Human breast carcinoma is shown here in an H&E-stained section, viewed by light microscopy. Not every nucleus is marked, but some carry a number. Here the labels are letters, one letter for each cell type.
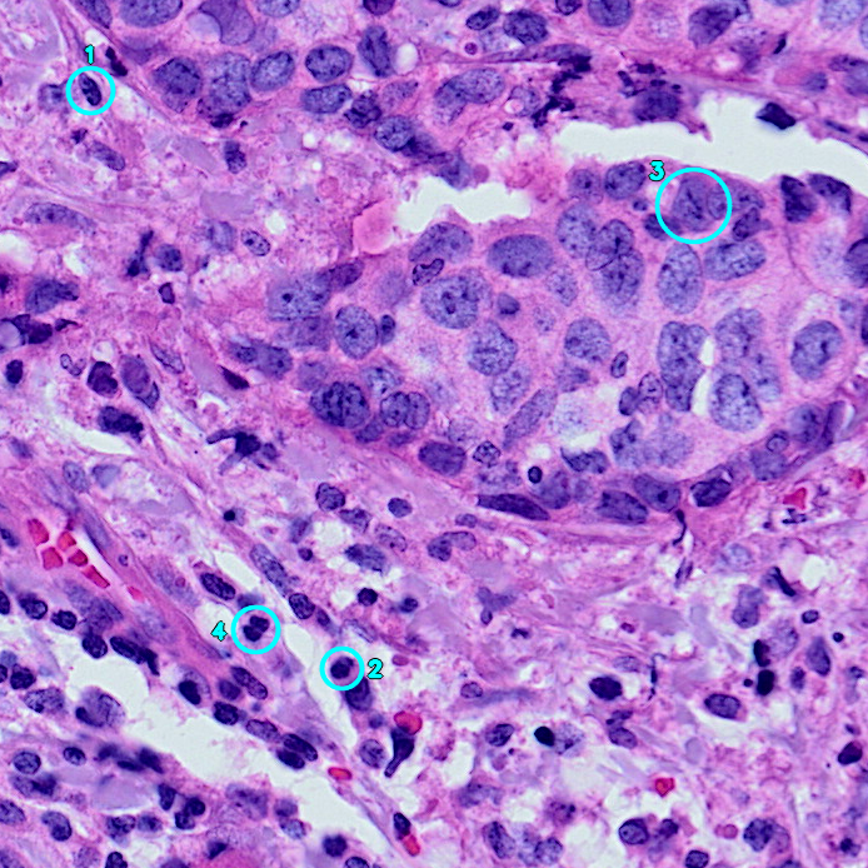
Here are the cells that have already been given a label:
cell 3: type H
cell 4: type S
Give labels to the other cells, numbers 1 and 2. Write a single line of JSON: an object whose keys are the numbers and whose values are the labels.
{"1": "type S", "2": "type S"}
